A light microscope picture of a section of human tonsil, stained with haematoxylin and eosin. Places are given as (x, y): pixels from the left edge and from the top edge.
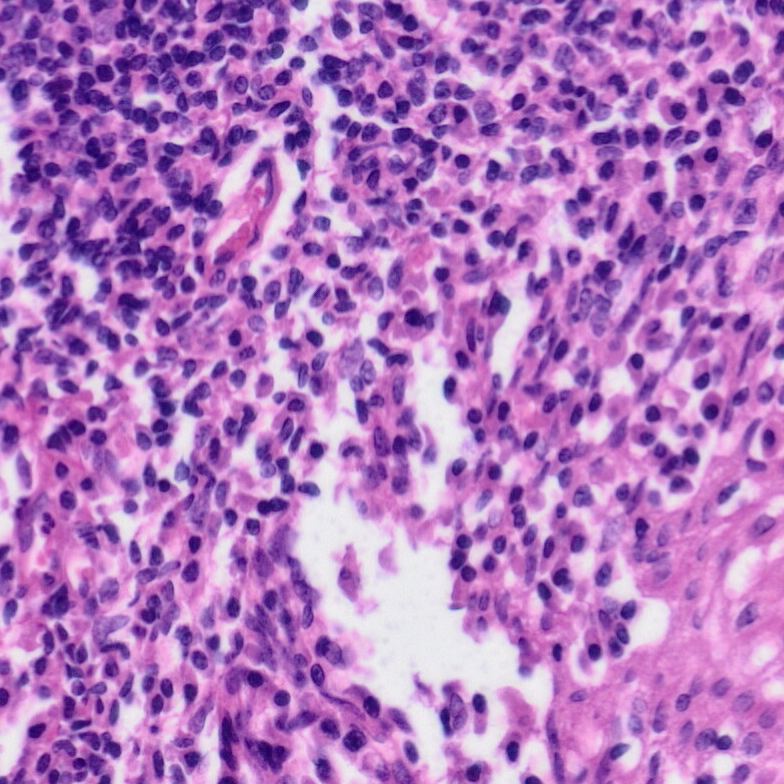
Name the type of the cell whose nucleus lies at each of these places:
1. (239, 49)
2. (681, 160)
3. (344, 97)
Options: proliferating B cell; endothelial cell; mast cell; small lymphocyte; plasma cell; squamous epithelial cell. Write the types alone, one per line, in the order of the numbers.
small lymphocyte
plasma cell
small lymphocyte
